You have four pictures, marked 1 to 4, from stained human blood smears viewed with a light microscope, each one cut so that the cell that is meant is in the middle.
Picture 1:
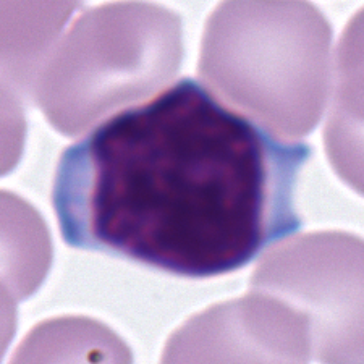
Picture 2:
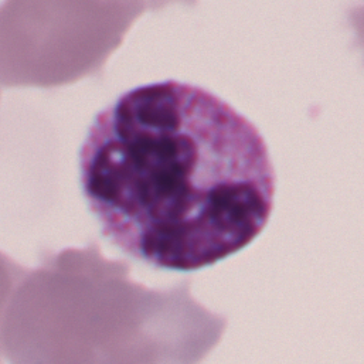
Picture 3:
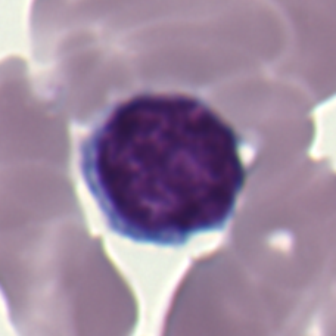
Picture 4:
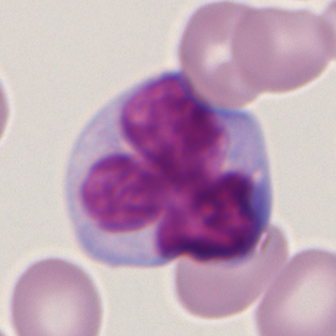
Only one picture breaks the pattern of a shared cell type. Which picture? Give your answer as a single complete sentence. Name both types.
All pictures except 2 show typical lymphocytes; picture 2 shows a segmented neutrophil.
